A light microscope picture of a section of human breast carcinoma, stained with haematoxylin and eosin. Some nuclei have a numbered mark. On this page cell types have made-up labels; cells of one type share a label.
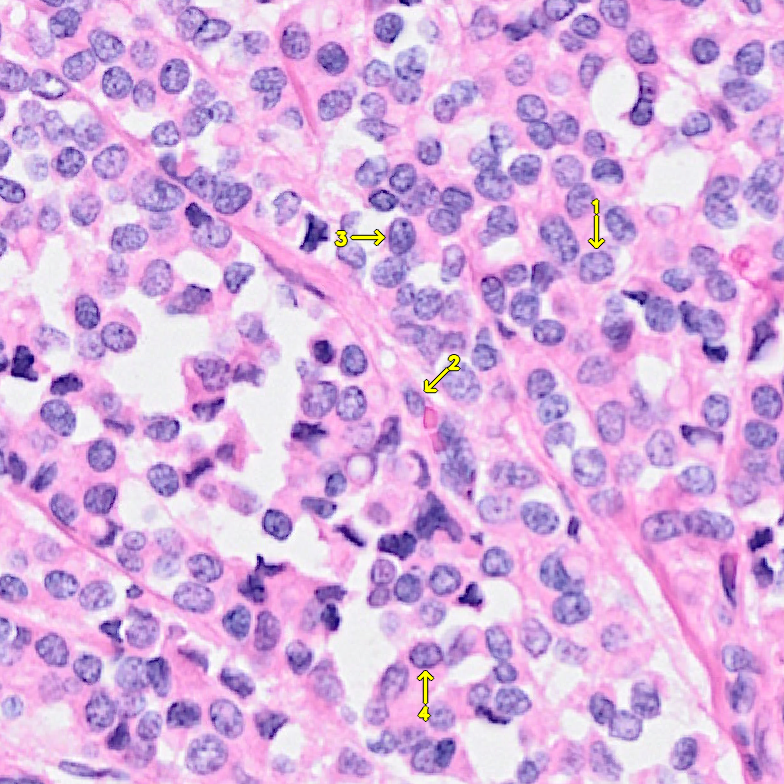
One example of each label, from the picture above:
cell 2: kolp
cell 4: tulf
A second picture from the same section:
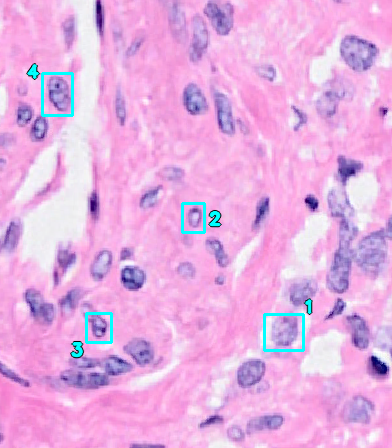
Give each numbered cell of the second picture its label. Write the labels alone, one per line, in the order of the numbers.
tulf
kolp
kolp
kolp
